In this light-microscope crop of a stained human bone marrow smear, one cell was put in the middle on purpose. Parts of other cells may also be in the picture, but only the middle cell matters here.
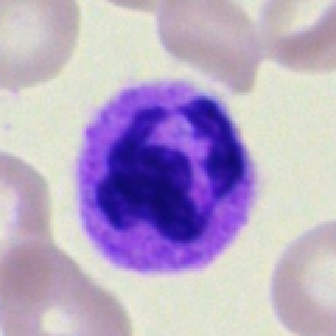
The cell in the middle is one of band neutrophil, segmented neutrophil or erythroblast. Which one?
segmented neutrophil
